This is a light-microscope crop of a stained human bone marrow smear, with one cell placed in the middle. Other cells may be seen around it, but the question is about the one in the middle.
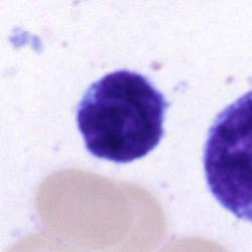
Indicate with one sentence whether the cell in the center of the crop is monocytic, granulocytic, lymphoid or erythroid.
In terms of lineage, the cell at the center is lymphoid.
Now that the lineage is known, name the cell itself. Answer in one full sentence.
The cell of interest, in the center, is a lymphocyte.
